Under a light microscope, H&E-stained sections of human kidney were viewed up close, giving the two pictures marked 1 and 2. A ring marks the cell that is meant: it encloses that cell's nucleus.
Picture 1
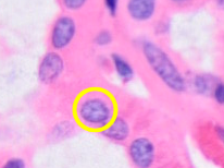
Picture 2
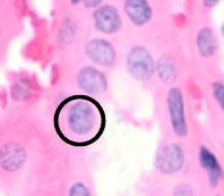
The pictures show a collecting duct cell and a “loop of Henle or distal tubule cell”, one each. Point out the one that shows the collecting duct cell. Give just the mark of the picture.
2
